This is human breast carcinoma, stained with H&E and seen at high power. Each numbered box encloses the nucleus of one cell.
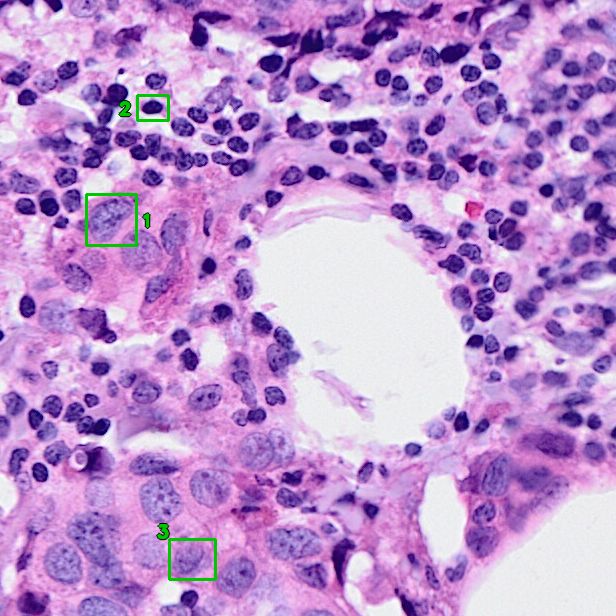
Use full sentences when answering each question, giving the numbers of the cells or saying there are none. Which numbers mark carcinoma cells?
Each of the cells numbered 1 and 3 is among the carcinoma cells.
